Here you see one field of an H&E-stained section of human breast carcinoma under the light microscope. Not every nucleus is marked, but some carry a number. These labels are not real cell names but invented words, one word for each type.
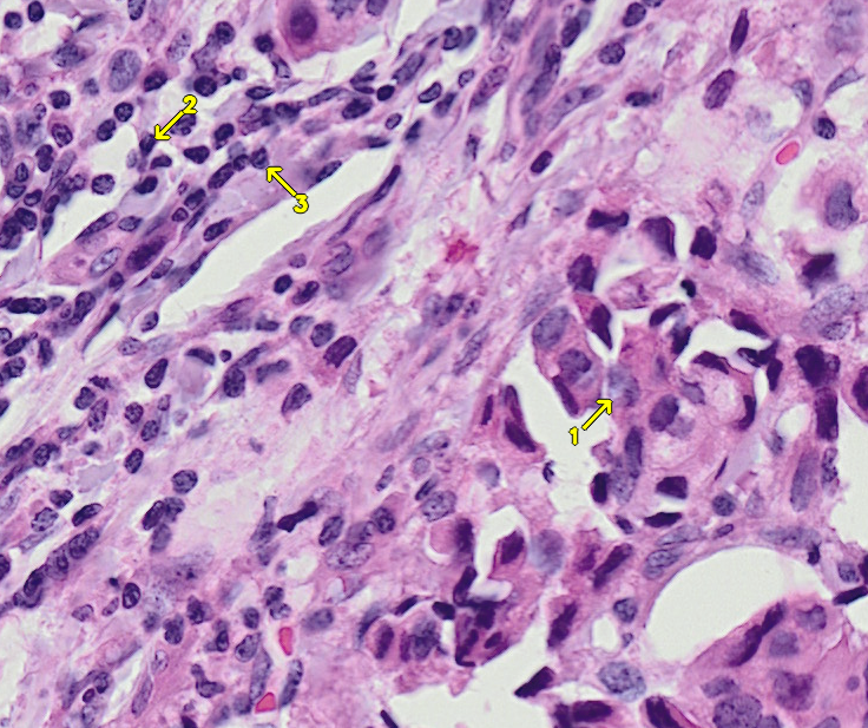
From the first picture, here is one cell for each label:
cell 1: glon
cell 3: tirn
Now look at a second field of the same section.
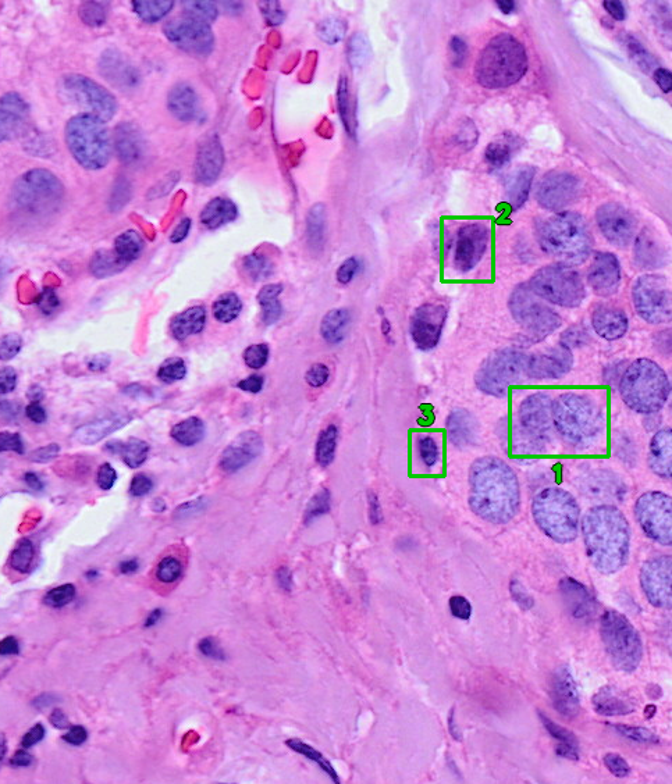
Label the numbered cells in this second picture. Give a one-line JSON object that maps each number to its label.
{"1": "glon", "2": "glon", "3": "tirn"}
